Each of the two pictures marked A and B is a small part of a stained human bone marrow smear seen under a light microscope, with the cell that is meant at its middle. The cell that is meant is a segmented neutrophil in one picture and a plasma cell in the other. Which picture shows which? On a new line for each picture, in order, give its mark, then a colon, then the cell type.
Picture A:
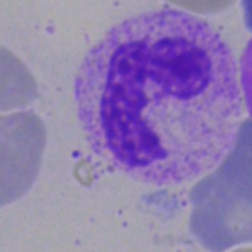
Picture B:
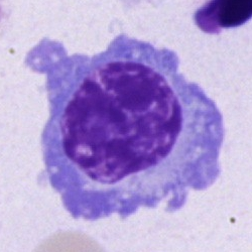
A: segmented neutrophil
B: plasma cell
